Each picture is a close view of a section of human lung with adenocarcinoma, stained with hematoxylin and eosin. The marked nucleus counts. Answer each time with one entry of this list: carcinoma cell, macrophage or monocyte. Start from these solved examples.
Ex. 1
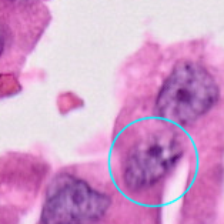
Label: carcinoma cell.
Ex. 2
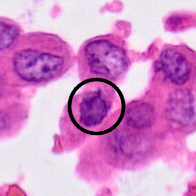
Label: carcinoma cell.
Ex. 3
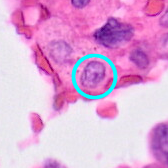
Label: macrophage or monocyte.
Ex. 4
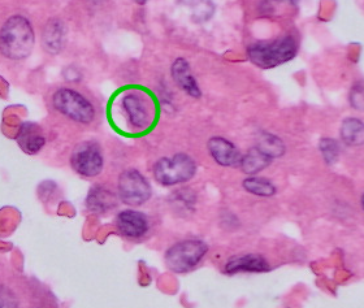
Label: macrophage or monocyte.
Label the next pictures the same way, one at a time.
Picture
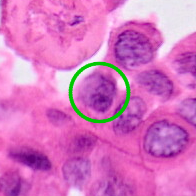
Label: carcinoma cell.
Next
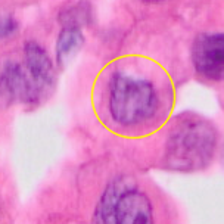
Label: carcinoma cell.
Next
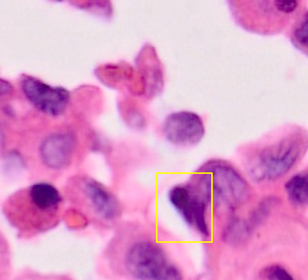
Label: carcinoma cell.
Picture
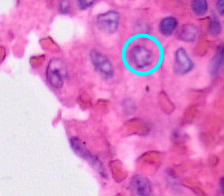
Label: macrophage or monocyte.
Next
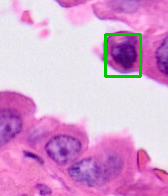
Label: carcinoma cell.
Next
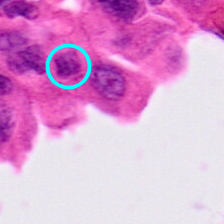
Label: carcinoma cell.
